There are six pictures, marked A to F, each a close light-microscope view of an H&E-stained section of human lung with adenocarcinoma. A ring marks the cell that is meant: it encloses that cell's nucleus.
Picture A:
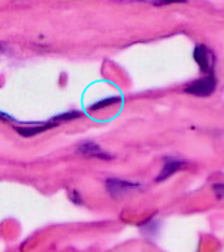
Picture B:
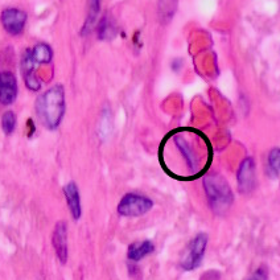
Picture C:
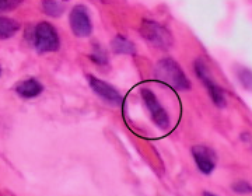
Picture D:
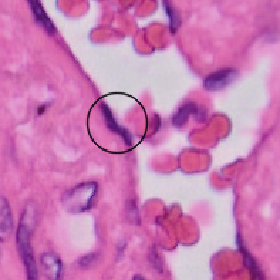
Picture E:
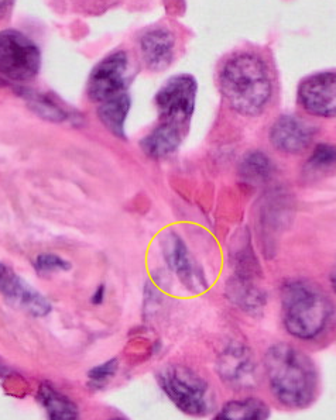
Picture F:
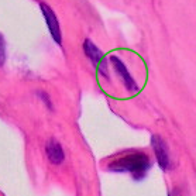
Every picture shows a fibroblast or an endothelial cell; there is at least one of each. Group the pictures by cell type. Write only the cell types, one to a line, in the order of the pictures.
endothelial cell
endothelial cell
endothelial cell
endothelial cell
fibroblast
fibroblast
